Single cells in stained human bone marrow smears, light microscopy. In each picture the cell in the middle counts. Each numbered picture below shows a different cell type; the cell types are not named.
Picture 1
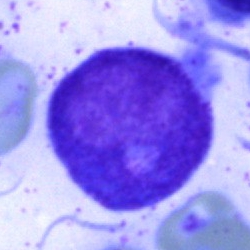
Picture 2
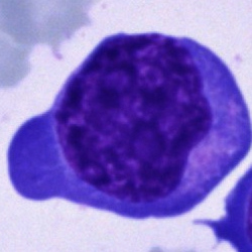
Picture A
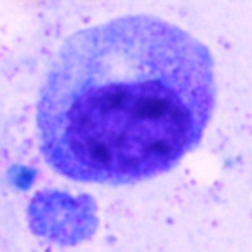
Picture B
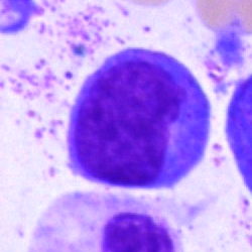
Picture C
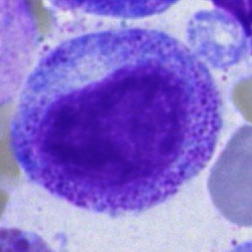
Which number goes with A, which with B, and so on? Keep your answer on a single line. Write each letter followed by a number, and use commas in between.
A 1, B 2, C 1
